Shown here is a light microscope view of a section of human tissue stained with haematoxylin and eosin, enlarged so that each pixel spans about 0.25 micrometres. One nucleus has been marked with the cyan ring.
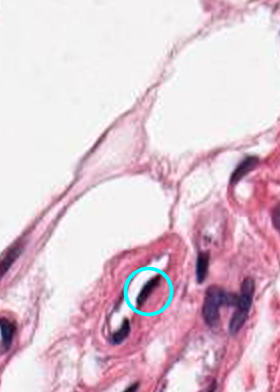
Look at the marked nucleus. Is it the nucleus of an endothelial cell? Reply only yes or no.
yes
